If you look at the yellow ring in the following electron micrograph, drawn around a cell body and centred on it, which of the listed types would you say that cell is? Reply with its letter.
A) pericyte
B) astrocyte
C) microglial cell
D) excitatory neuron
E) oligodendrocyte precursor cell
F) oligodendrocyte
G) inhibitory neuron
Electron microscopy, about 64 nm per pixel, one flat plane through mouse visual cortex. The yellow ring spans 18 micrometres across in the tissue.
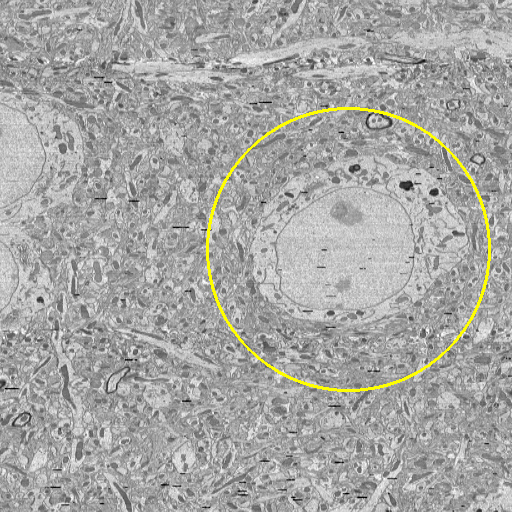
D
